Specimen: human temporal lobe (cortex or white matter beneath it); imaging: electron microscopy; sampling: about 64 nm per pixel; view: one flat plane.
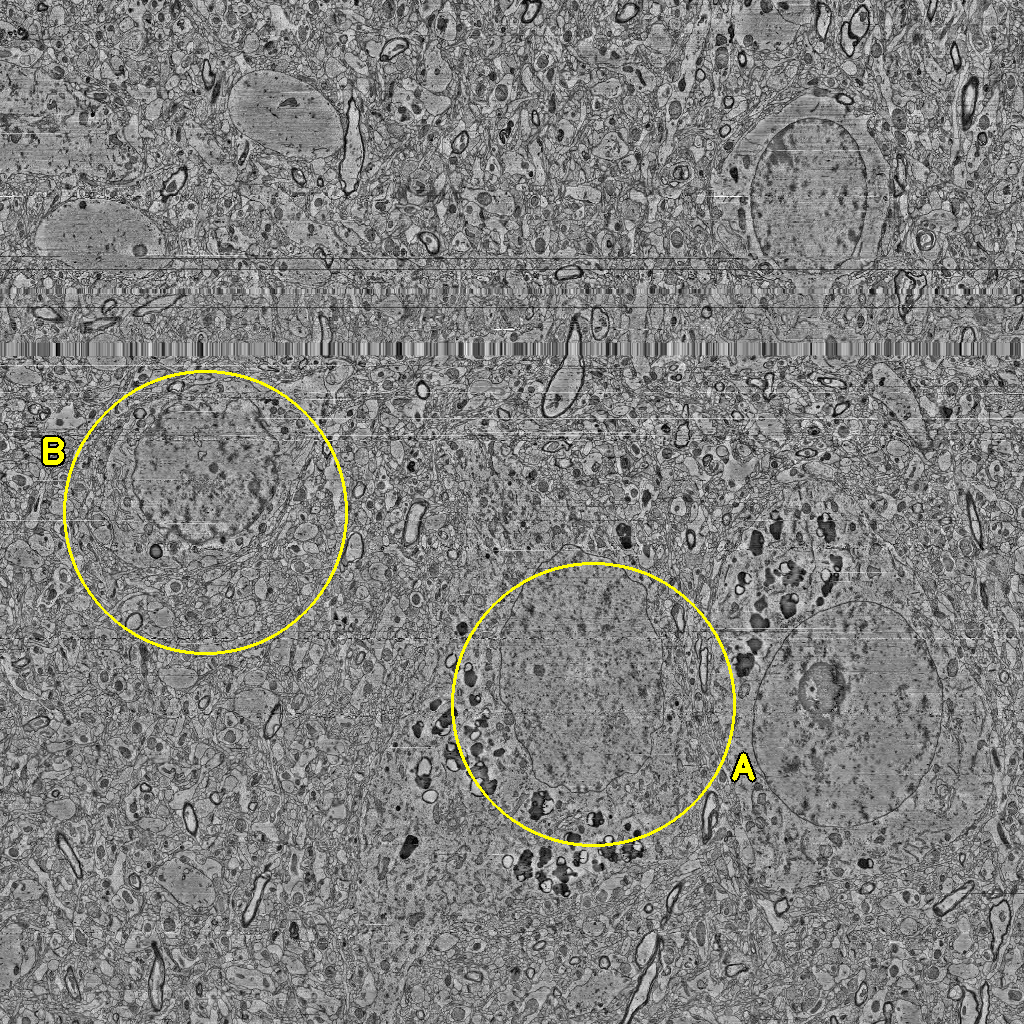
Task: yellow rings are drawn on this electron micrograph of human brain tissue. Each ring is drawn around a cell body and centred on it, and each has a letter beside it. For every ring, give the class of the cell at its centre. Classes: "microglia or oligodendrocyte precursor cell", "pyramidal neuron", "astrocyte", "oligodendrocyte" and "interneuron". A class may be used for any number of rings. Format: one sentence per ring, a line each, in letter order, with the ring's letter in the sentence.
The cell ringed as A is a pyramidal neuron.
The cell ringed as B is an interneuron.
